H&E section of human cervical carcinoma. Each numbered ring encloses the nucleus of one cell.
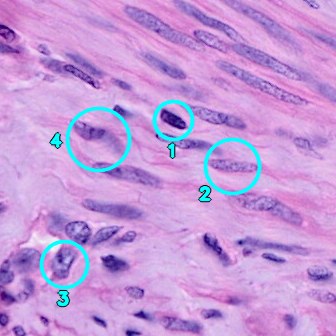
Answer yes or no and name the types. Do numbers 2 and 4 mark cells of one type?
Yes, both cells 2 and 4 are smooth muscle cells.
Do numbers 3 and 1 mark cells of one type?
No, in this section cell 3 is an endothelial cell and cell 1 is a lymphocyte.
